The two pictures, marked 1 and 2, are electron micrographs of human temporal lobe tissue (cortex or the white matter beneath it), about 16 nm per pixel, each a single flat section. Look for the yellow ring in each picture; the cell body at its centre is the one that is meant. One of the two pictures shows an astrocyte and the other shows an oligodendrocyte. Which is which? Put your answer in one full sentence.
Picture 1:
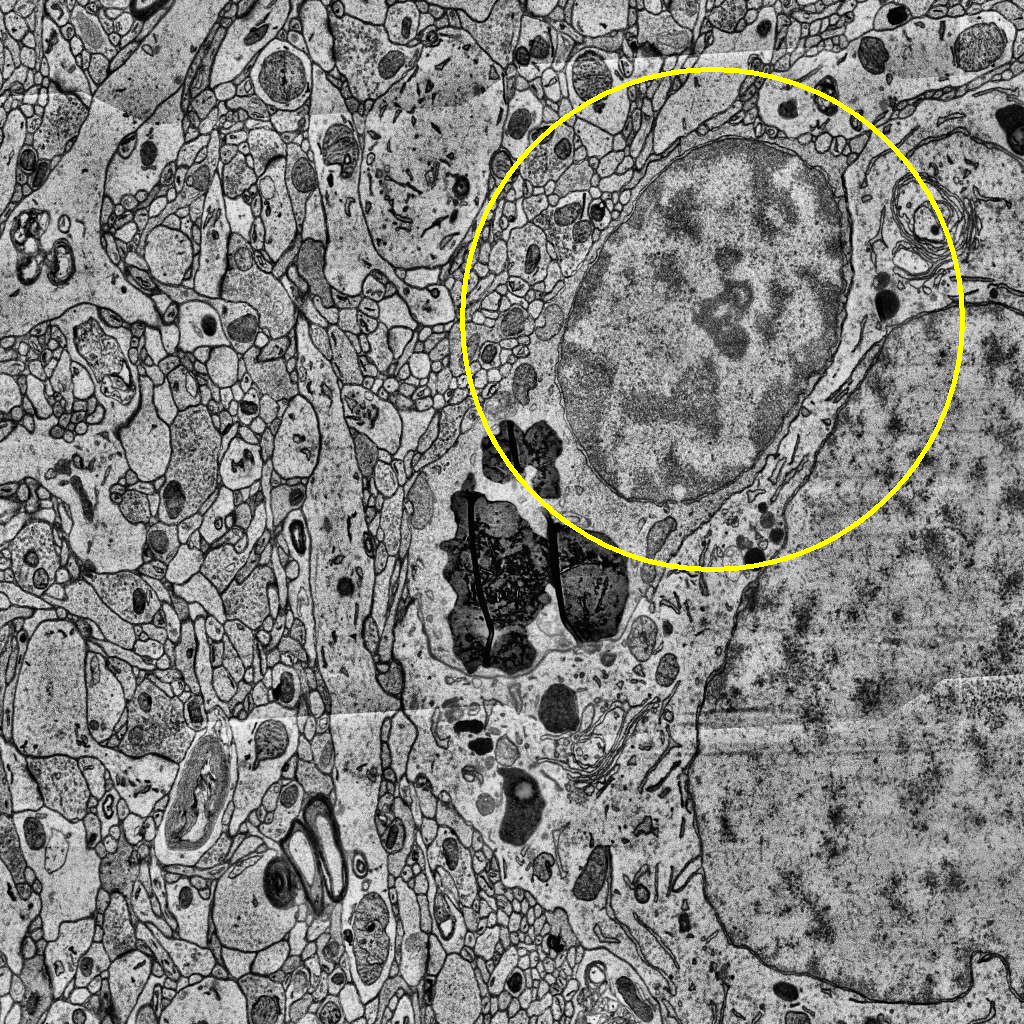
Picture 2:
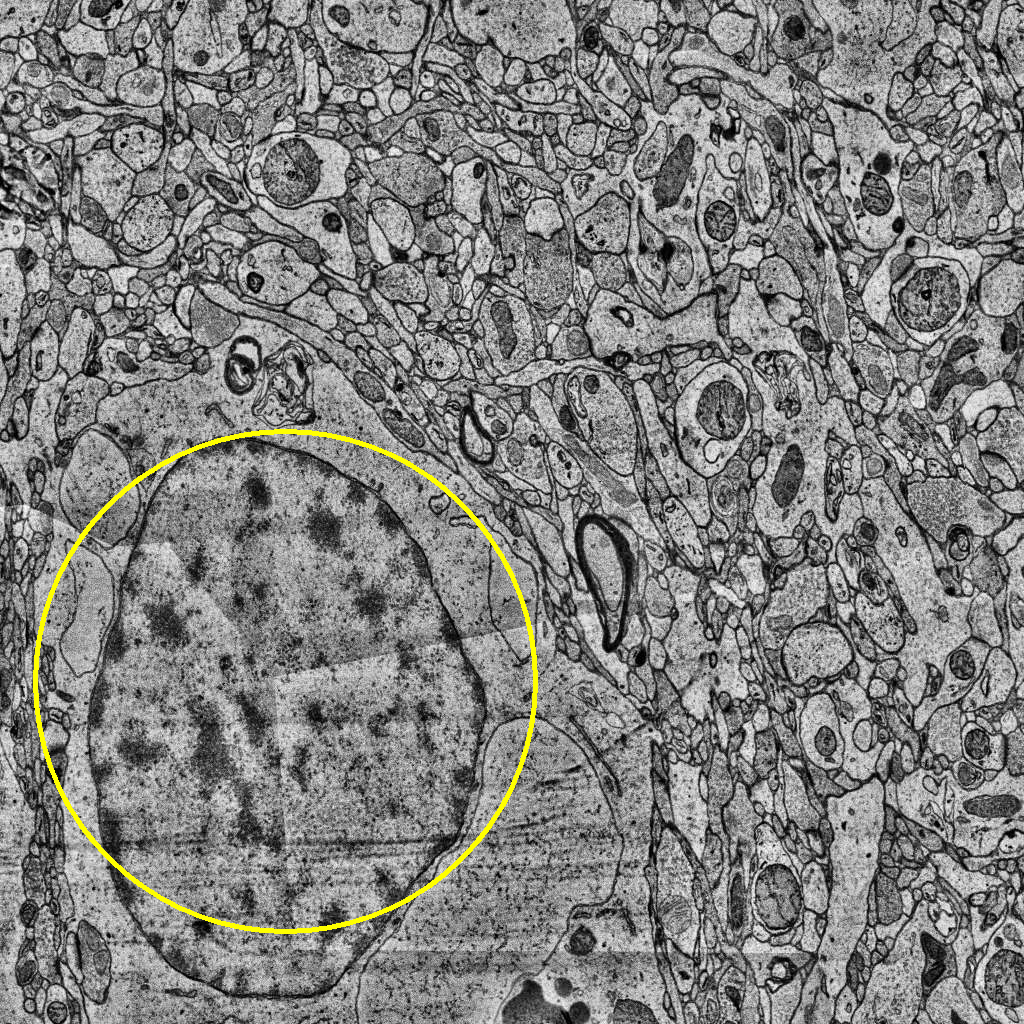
In picture 1 the cell is an oligodendrocyte; in picture 2, an astrocyte.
